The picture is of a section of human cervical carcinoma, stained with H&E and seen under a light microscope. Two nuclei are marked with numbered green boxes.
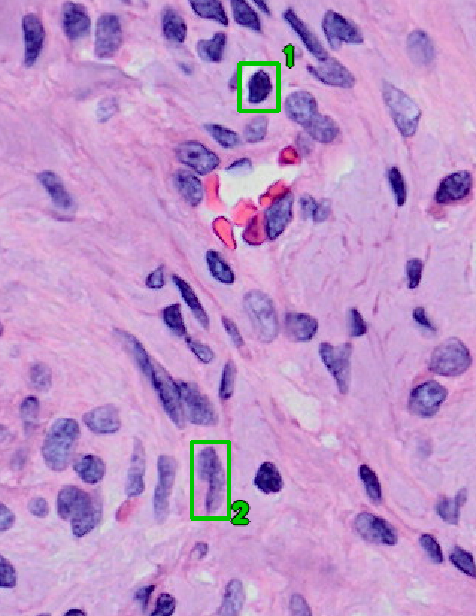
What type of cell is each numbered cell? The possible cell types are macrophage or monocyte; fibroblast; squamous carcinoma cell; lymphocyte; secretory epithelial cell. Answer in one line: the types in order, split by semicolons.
lymphocyte; fibroblast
